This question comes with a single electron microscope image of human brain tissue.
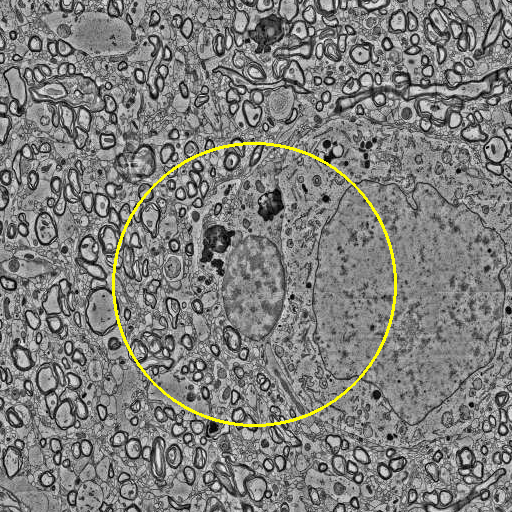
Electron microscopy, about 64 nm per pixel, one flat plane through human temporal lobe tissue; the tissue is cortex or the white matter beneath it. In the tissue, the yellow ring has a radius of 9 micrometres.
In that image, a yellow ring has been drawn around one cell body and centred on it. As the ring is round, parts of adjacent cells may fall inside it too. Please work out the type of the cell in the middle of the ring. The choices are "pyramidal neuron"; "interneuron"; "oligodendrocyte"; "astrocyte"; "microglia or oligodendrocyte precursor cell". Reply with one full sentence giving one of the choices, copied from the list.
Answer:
Of the choices, an oligodendrocyte is the cell sitting in the middle of the ring.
